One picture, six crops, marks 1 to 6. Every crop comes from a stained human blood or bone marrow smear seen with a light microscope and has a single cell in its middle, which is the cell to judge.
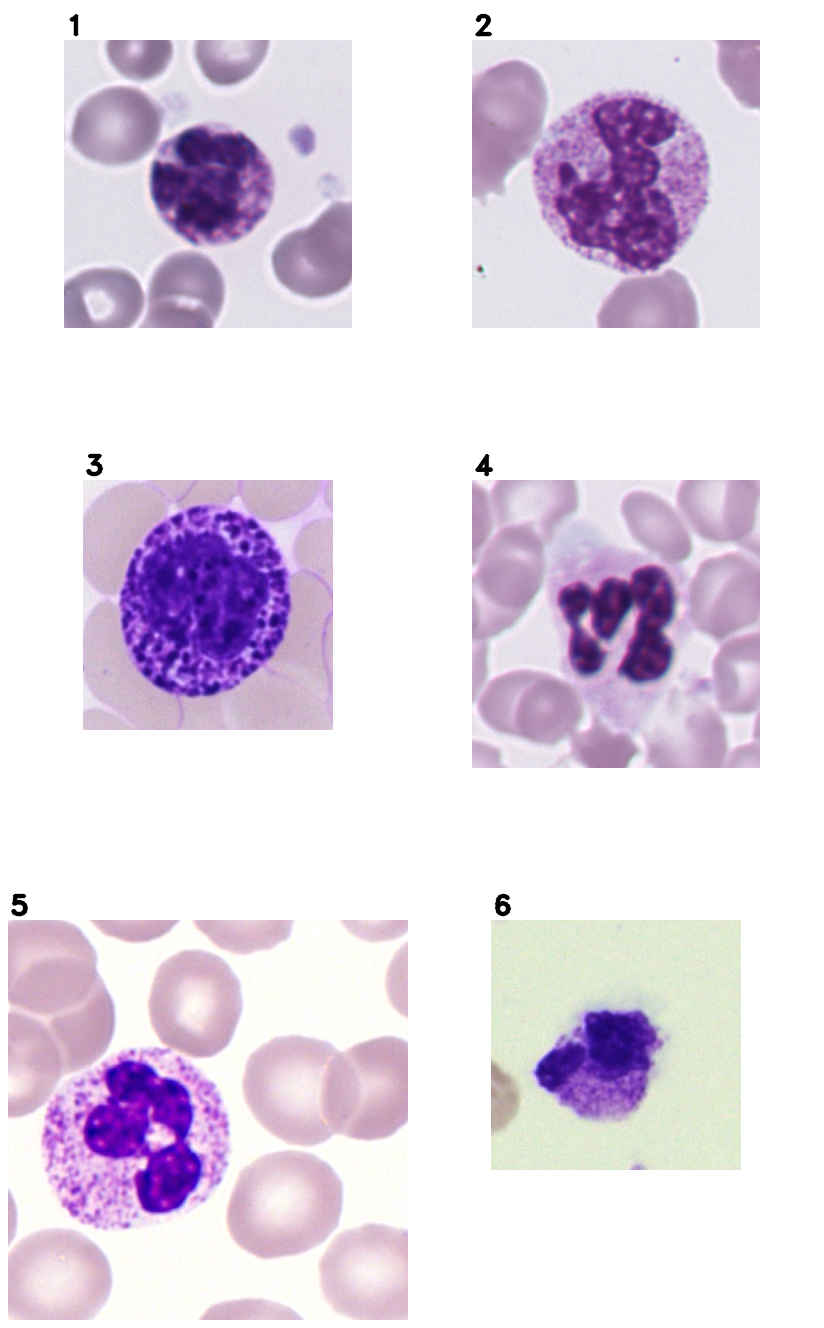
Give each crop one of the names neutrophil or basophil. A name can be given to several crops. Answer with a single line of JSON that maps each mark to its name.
{"1": "basophil", "2": "neutrophil", "3": "basophil", "4": "neutrophil", "5": "neutrophil", "6": "neutrophil"}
